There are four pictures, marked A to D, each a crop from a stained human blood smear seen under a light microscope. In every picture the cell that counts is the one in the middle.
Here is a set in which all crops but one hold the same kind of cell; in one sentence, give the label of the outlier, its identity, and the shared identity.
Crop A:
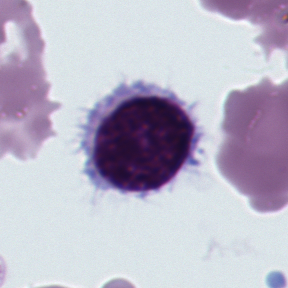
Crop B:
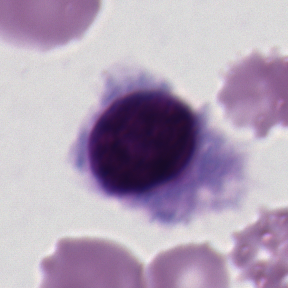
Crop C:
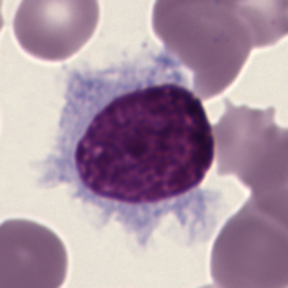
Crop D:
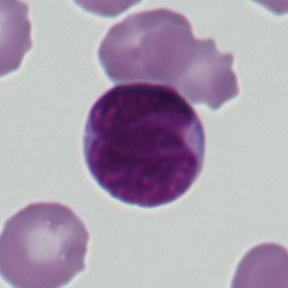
Crop D shows a blast, while all of the others show hairy cells.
